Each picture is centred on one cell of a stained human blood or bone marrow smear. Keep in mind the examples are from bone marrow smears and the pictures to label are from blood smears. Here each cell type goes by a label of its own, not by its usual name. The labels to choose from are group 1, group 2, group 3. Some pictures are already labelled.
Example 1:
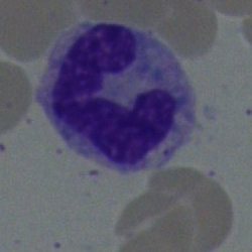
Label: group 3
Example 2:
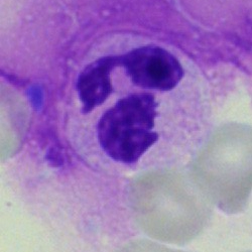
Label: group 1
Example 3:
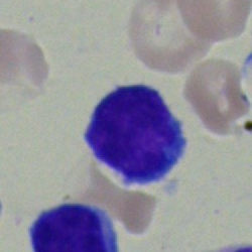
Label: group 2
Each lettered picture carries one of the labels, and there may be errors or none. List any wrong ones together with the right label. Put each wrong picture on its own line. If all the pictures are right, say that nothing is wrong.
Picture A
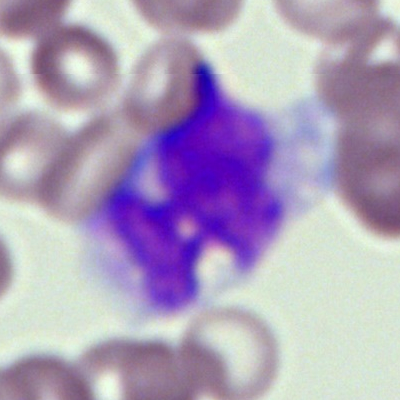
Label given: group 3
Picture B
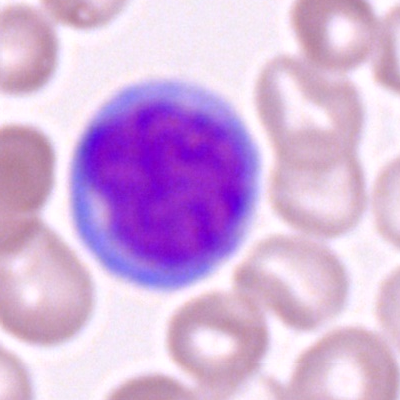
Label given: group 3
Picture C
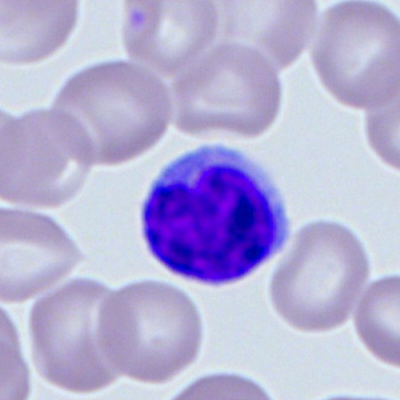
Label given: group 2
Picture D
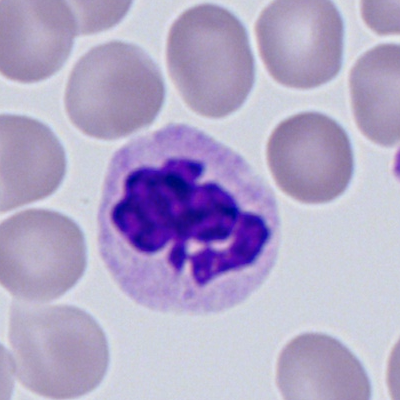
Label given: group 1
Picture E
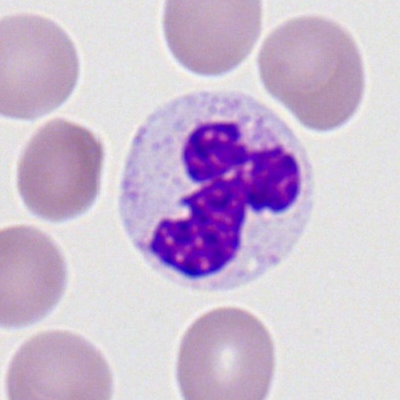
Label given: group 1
Every label is right.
